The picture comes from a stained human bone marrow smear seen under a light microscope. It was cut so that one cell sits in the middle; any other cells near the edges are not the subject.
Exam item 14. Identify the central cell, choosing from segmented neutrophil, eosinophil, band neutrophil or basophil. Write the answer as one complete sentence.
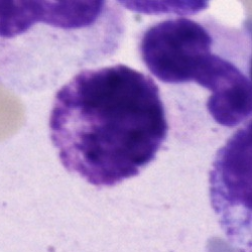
Among the cells in view, the one in the middle is a basophil.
